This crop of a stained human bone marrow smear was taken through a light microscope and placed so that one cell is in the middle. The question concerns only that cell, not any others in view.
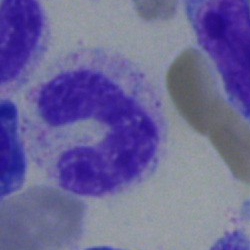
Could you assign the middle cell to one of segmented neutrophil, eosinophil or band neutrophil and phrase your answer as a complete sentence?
What the crop centres on is a band neutrophil.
